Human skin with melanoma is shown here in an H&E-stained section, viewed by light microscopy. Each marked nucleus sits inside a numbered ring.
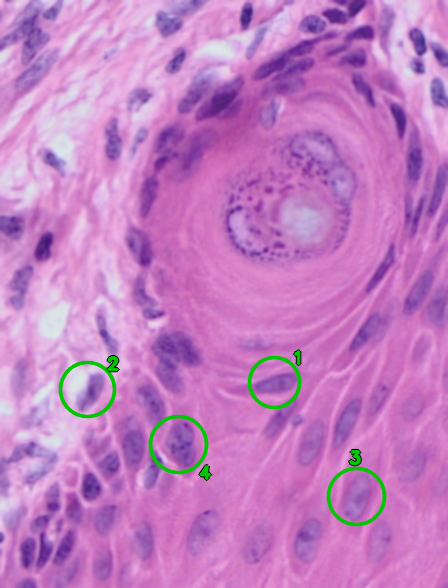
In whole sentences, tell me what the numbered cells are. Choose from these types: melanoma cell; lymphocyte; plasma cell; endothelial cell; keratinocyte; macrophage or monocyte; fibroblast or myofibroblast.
Cell 1 is a keratinocyte, cell 2 is a fibroblast or myofibroblast, cell 3 is a keratinocyte and cell 4 is a keratinocyte.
